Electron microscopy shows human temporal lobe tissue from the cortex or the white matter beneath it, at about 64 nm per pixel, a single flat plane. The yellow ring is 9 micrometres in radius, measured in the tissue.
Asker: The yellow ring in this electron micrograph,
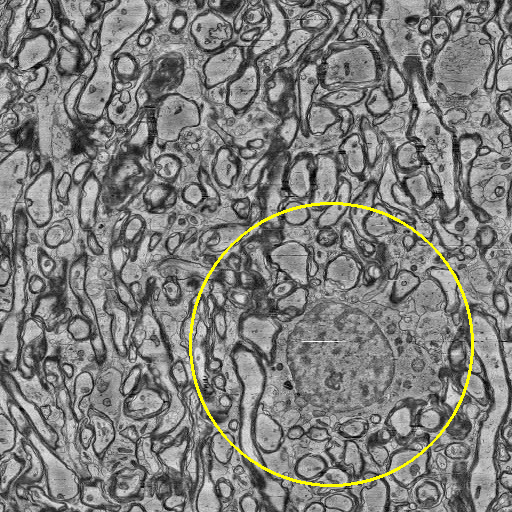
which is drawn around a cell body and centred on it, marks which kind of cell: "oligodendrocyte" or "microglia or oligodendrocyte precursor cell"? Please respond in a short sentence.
The marked cell is an oligodendrocyte.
